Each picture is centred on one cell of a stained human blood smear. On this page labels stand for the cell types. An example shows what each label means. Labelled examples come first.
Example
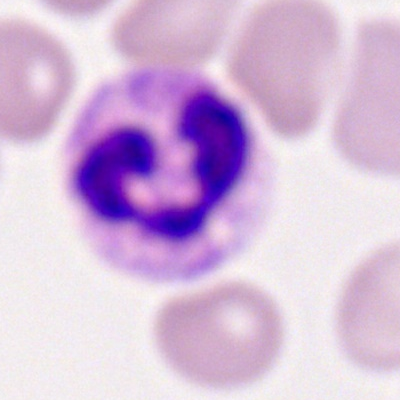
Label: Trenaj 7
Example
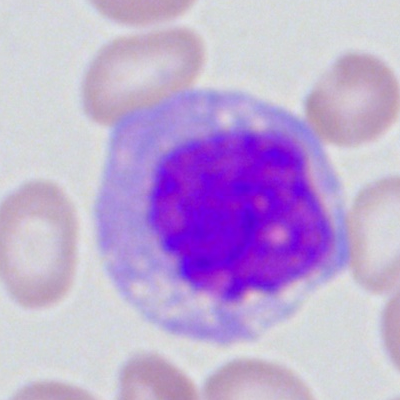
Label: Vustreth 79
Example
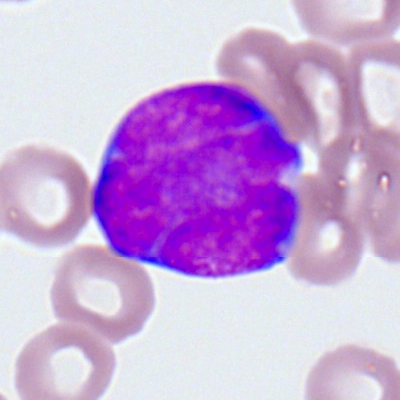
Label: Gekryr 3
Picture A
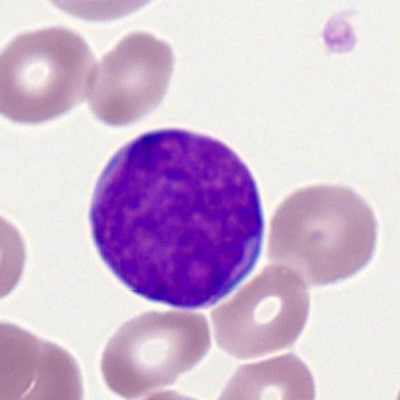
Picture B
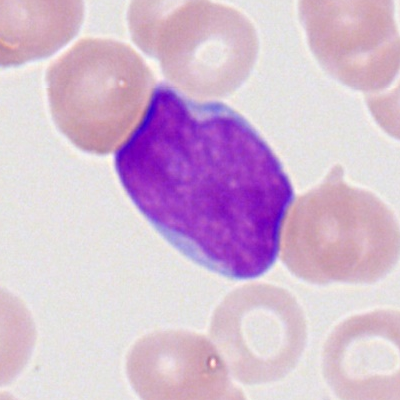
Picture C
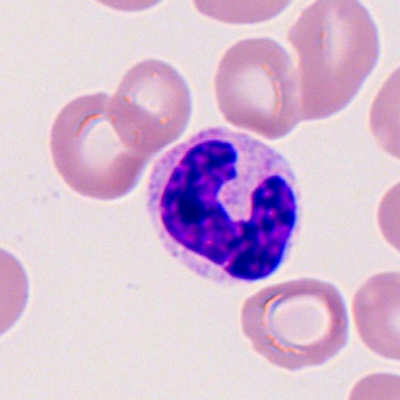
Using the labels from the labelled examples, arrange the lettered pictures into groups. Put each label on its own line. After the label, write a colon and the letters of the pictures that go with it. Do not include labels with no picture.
Trenaj 7: C
Gekryr 3: A, B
